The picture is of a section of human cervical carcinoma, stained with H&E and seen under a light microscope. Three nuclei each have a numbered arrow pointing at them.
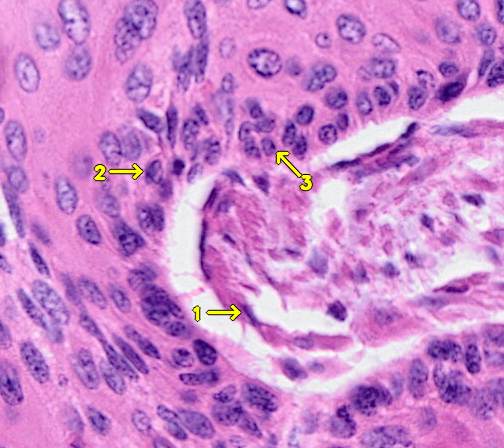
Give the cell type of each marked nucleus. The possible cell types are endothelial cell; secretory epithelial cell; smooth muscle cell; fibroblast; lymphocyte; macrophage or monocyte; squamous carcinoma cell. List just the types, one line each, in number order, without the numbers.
fibroblast
squamous carcinoma cell
squamous carcinoma cell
